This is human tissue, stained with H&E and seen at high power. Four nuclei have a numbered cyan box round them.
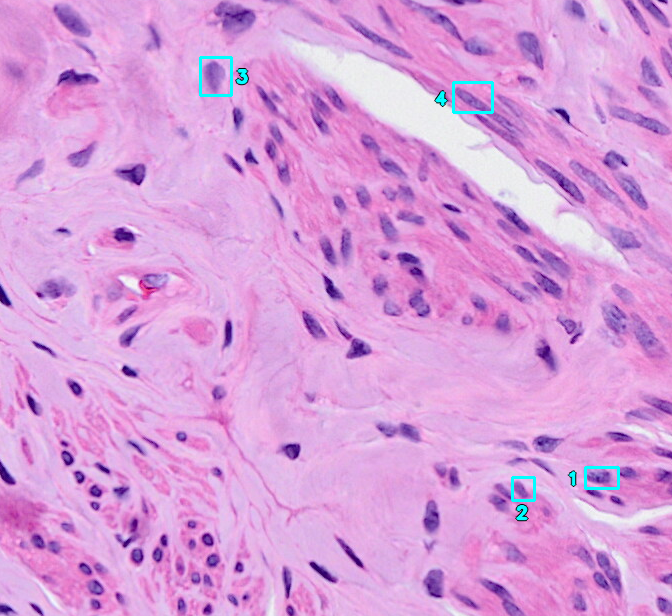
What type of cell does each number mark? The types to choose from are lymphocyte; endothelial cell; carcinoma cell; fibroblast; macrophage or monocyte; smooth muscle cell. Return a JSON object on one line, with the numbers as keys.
{"1": "smooth muscle cell", "2": "smooth muscle cell", "3": "fibroblast", "4": "smooth muscle cell"}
